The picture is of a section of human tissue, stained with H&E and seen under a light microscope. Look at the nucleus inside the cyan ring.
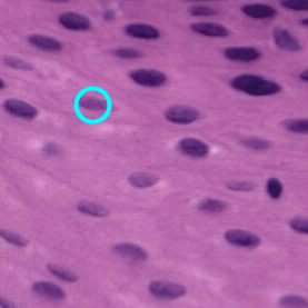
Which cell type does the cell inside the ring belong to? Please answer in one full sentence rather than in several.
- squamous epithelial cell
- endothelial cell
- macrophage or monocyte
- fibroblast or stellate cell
The expected answer is simply that the cell inside the ring is a squamous epithelial cell.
